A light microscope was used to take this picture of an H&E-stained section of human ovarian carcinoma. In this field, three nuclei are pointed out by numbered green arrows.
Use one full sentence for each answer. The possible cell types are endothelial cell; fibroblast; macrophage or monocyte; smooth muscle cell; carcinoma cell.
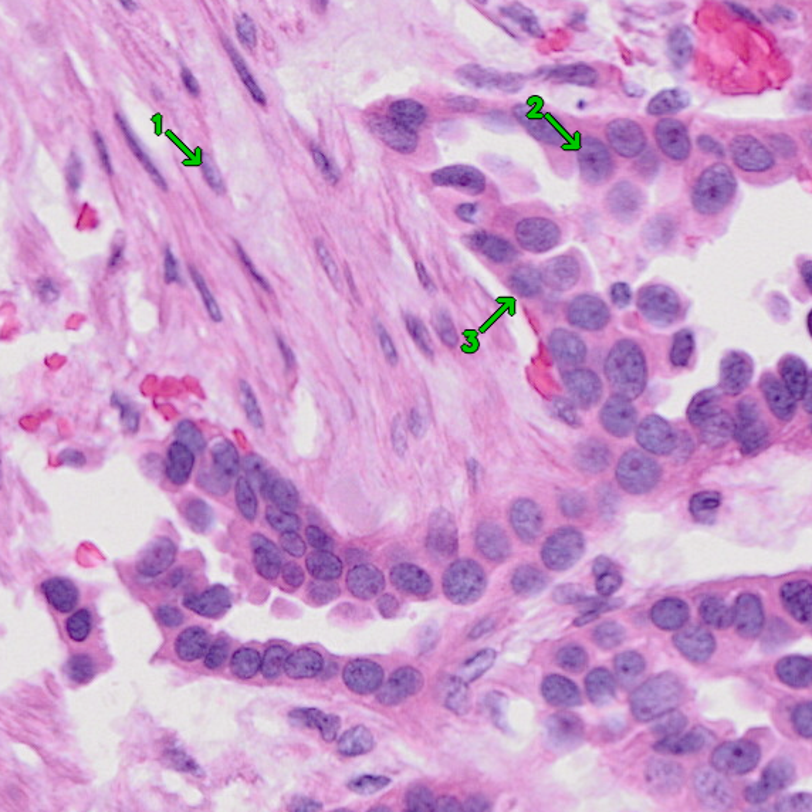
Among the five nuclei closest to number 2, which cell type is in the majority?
Most of the five nuclei nearest to number 2 are those of carcinoma cells.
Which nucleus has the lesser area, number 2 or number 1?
With nucleus 2 about 2 times its size, nucleus 1 is the smaller of the two.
